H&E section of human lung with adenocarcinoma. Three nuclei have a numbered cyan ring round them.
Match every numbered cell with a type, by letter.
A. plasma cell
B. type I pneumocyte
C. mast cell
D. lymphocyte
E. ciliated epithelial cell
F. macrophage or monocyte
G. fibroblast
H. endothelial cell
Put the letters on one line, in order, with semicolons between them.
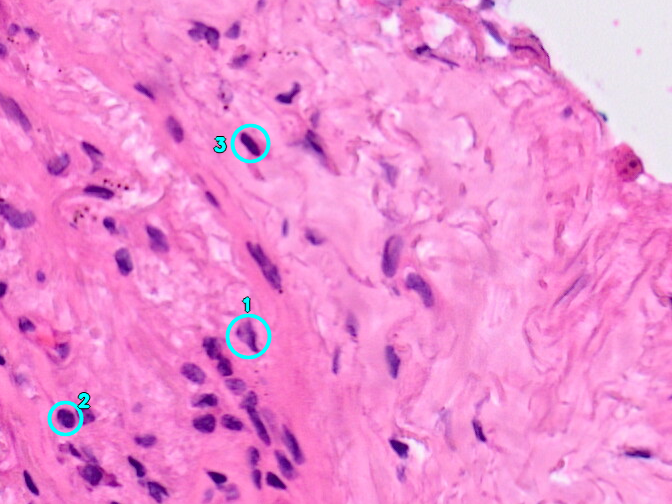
G; D; C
